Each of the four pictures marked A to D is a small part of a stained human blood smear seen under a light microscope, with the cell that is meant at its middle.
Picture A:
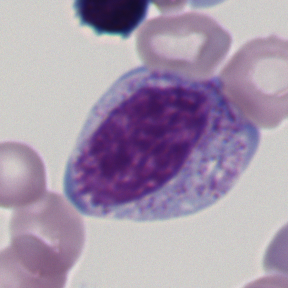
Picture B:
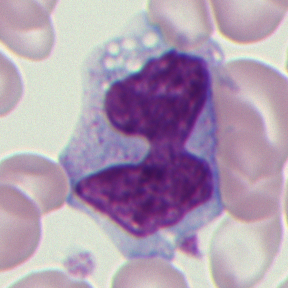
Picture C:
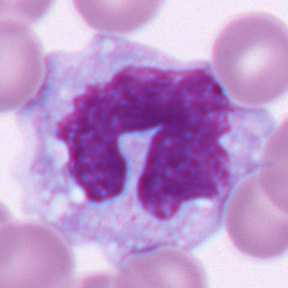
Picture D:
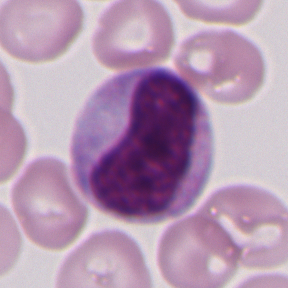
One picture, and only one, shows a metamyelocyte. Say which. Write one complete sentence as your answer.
The cell in picture D is the metamyelocyte.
